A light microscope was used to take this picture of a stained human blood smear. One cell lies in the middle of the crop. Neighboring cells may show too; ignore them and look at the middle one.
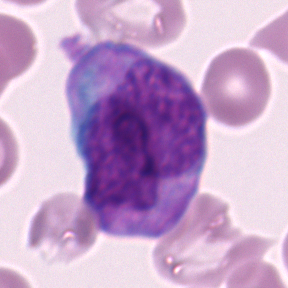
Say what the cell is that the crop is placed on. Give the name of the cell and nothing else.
atypical promyelocyte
